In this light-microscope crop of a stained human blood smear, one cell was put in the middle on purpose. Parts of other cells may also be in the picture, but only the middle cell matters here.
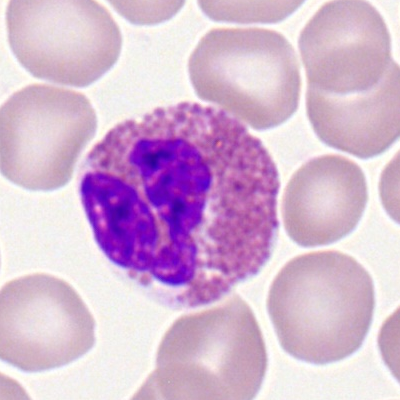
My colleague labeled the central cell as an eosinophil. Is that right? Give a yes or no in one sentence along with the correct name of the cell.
Yes, the cell at the middle is an eosinophil.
